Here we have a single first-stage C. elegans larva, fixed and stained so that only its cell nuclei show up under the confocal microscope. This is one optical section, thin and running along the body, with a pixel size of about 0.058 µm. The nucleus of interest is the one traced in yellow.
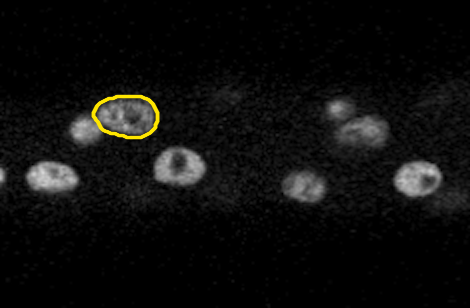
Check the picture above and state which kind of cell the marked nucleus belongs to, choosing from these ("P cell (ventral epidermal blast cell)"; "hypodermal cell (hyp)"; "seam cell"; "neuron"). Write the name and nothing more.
hypodermal cell (hyp)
